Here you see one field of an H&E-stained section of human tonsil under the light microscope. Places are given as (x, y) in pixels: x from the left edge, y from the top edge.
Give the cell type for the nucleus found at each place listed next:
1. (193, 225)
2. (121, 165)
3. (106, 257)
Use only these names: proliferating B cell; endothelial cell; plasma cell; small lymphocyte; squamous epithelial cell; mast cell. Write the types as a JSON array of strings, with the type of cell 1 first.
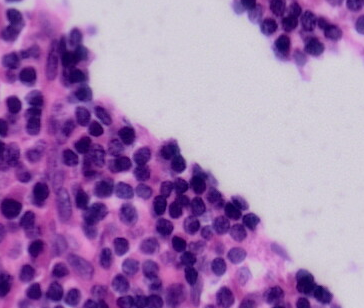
["small lymphocyte", "small lymphocyte", "endothelial cell"]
